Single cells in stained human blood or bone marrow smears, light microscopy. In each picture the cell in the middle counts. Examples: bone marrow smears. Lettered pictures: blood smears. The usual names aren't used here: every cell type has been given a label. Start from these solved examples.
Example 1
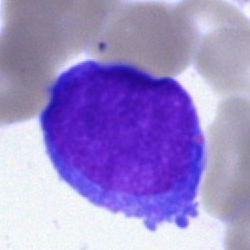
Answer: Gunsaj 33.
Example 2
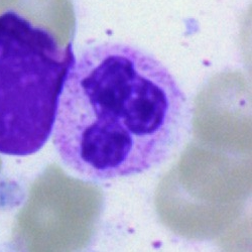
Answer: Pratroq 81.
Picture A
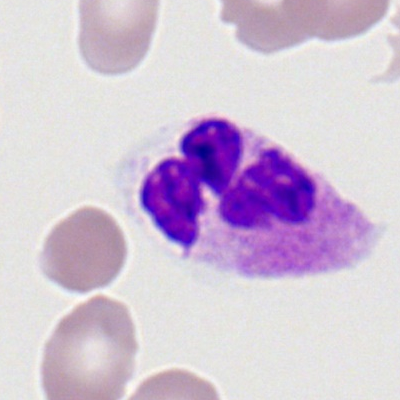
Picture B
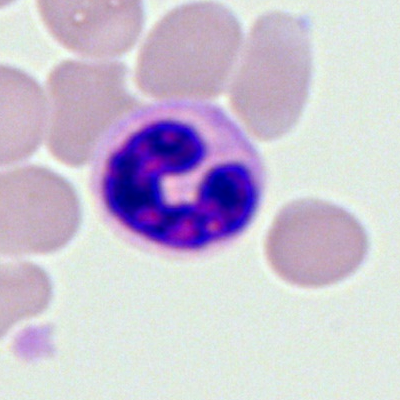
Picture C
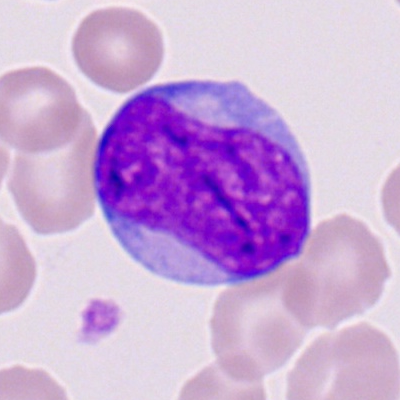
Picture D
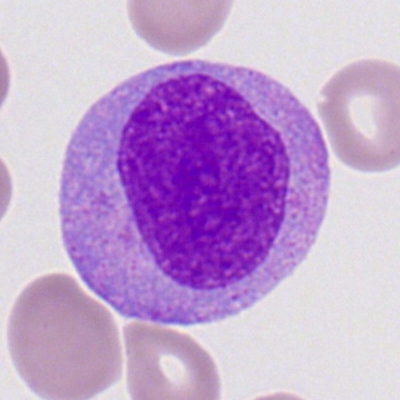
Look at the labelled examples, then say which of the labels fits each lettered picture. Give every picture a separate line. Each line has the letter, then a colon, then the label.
A: Pratroq 81.
B: Pratroq 81.
C: Gunsaj 33.
D: Gunsaj 33.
